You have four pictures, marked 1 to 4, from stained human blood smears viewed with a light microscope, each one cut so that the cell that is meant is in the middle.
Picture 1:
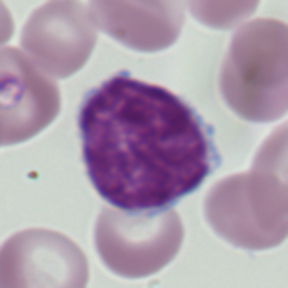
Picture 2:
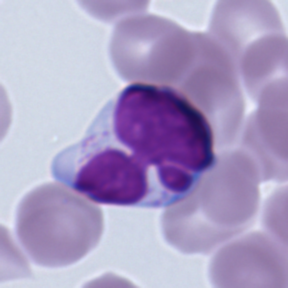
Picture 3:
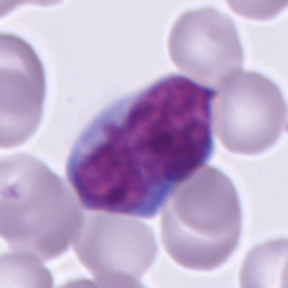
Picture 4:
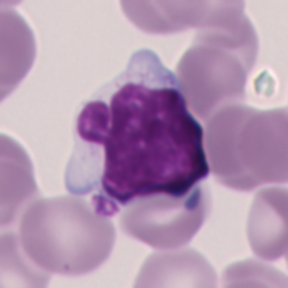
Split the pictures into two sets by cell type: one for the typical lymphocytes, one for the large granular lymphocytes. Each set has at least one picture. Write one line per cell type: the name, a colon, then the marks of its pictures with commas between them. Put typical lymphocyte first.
typical lymphocyte: 1, 3
large granular lymphocyte: 2, 4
